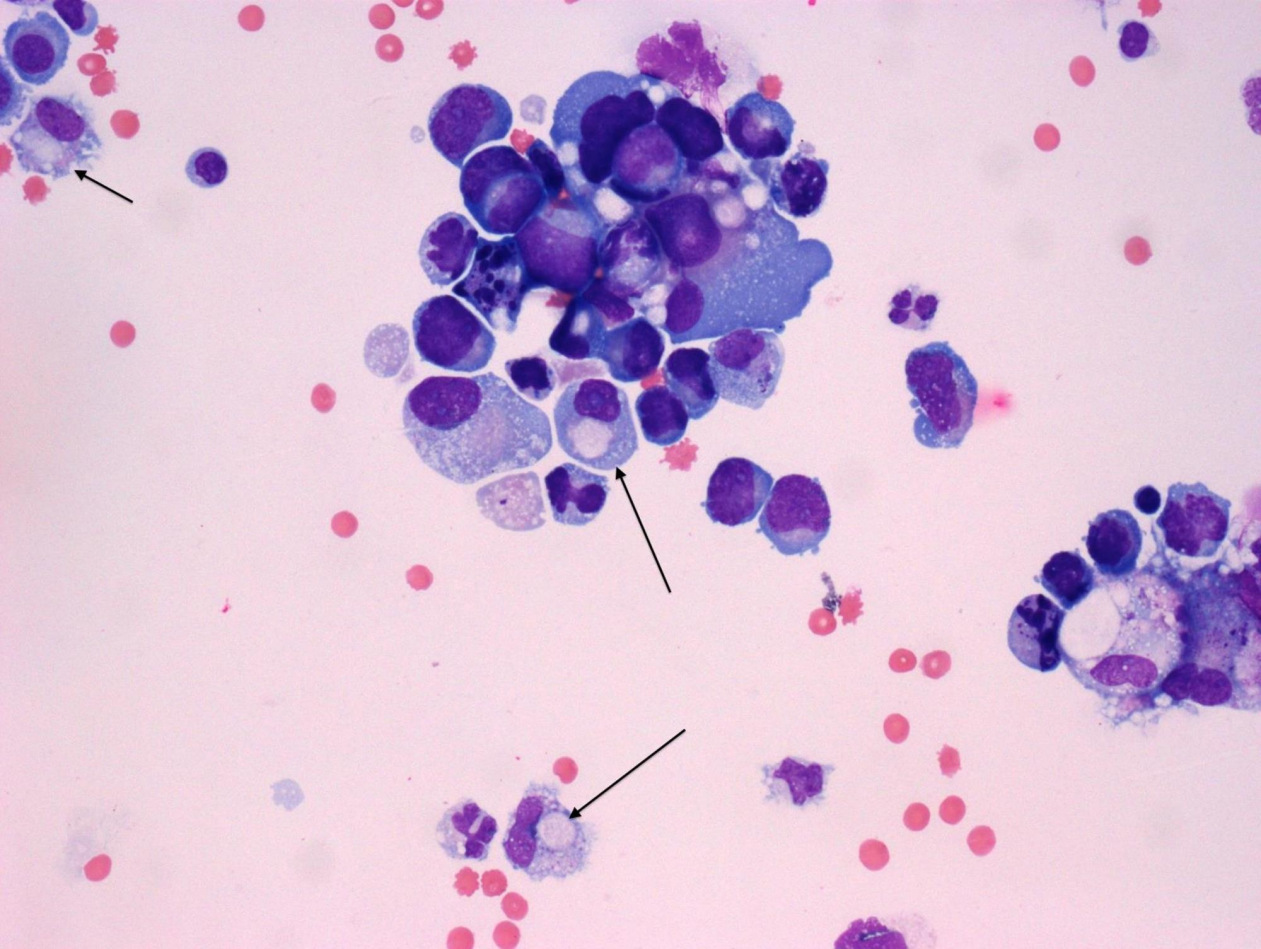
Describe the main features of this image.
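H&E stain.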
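This cytology smear shows markedly atypical cells, some of them with signet ring features. In the centre lies a loose cluster of large cells with oval to irregular, dark purple nuclei that take up much of each cell, leaving a rim of blue cytoplasm; some nuclei show visible nucleoli. The cells vary in size and shape. A few cells, marked by arrows, lie apart or at the edge of the groups; each holds a pale rounded clear area in its cytoplasm that pushes the nucleus to one side, like a signet ring. Scattered pink red blood cells and occasional cells with segmented nuclei lie around them.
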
